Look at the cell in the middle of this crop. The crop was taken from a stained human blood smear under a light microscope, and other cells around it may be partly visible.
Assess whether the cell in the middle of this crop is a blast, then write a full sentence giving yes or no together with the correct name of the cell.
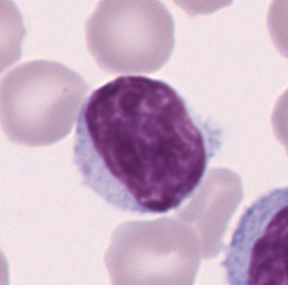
No, the cell placed in the centre is a lymphocyte and is not a blast.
